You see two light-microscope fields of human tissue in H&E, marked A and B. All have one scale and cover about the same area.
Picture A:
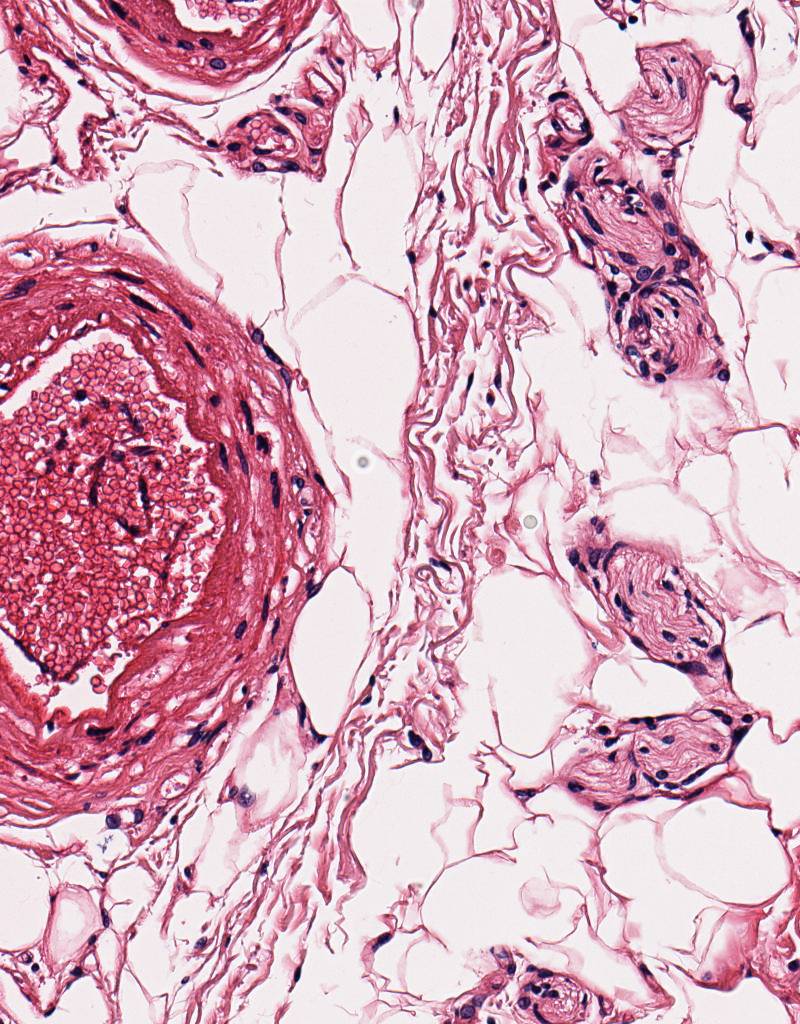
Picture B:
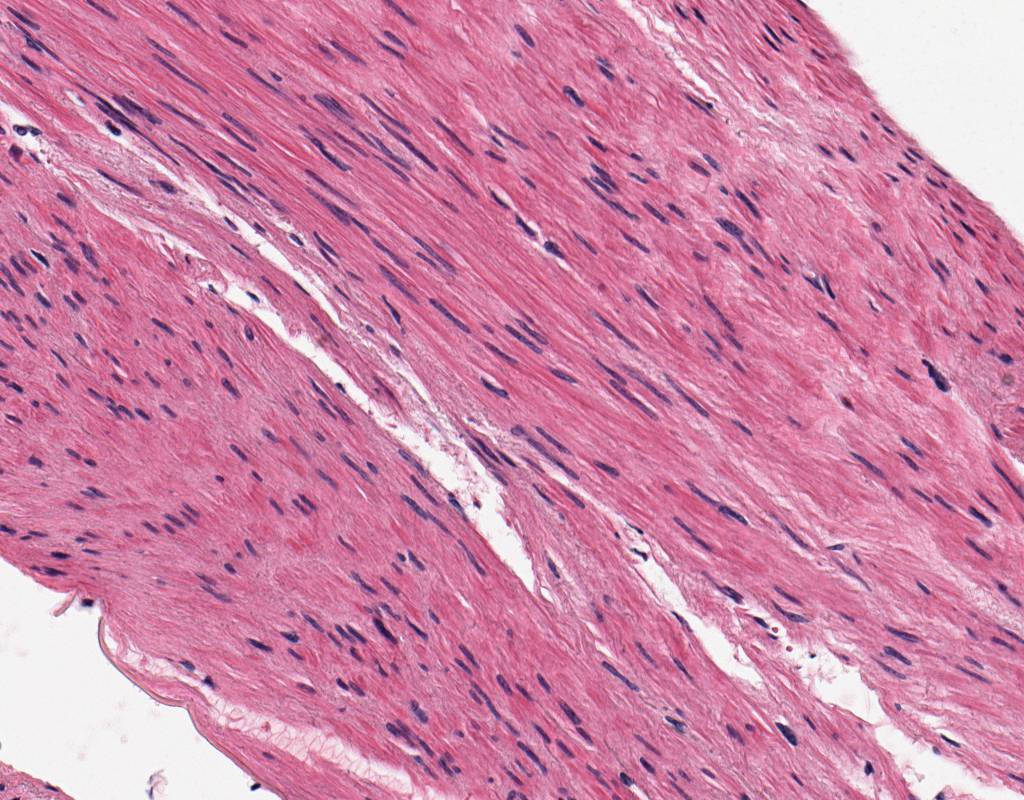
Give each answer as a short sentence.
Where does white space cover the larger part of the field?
Unstained space takes up more of picture A than of picture B.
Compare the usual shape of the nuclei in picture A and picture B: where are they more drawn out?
It is picture B whose nuclei are the more elongated.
